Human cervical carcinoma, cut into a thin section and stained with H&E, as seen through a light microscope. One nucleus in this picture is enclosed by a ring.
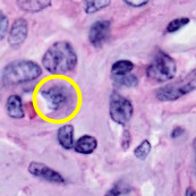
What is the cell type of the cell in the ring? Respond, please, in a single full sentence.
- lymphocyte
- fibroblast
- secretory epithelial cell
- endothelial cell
The identity of the cell in the ring: it is an endothelial cell.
